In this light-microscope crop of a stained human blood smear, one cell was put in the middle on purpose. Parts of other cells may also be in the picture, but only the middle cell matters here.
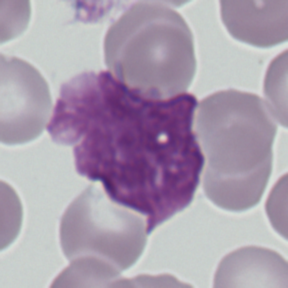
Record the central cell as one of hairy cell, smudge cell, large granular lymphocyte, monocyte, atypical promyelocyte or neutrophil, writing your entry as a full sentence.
The cell shown in the center of this light-microscope crop is a smudge cell.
